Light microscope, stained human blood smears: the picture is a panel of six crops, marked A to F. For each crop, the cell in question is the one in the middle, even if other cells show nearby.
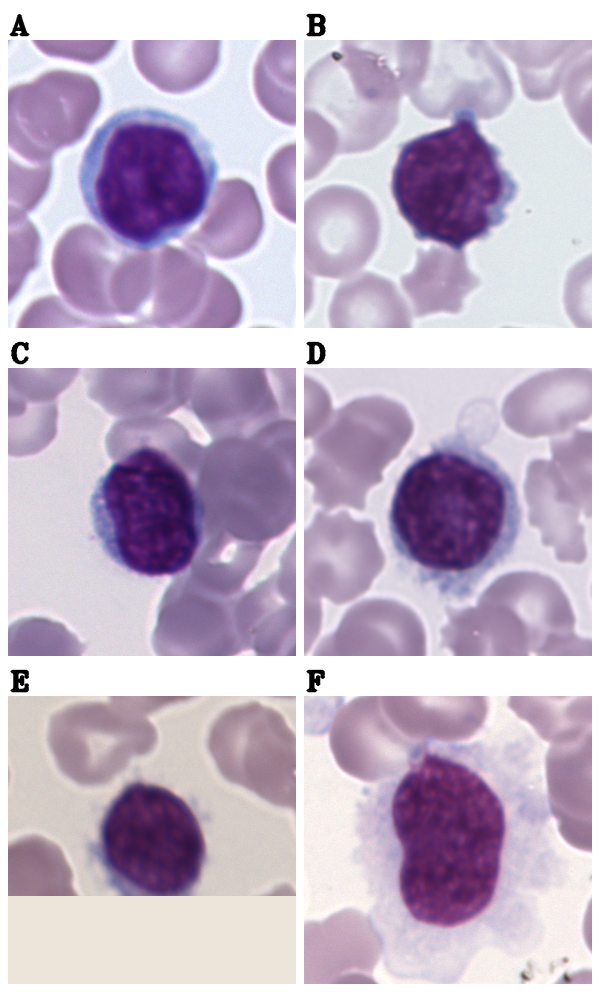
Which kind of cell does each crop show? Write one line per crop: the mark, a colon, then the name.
A: typical lymphocyte
B: typical lymphocyte
C: typical lymphocyte
D: hairy cell
E: hairy cell
F: hairy cell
